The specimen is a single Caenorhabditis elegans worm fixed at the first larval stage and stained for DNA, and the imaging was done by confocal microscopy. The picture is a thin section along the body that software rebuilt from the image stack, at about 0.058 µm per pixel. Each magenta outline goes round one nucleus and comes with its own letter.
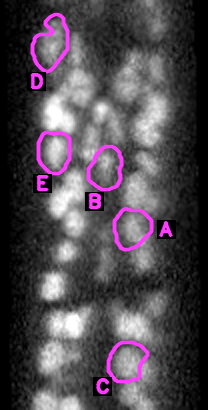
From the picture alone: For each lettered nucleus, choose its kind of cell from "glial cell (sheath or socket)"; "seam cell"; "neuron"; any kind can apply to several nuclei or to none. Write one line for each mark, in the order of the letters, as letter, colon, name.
A: neuron
B: neuron
C: neuron
D: seam cell
E: glial cell (sheath or socket)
